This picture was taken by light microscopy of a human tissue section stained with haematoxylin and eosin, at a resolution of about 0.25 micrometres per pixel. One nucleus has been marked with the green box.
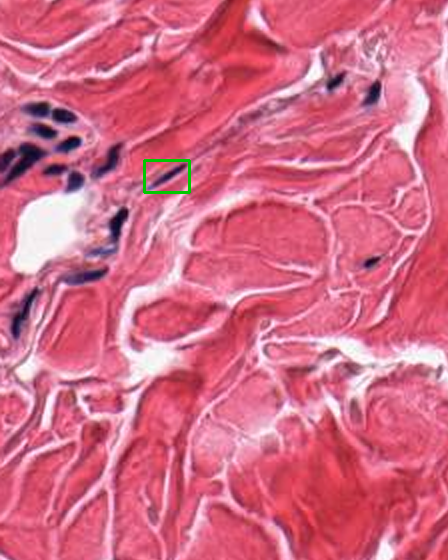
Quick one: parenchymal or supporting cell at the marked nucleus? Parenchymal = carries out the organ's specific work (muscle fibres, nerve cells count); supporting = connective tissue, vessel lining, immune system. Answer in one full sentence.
The cell bearing the marked nucleus is a supporting cell.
